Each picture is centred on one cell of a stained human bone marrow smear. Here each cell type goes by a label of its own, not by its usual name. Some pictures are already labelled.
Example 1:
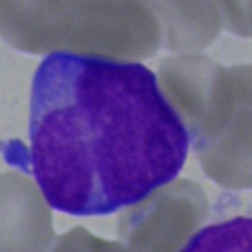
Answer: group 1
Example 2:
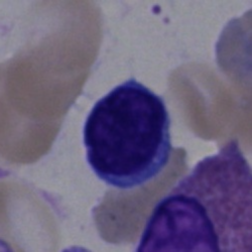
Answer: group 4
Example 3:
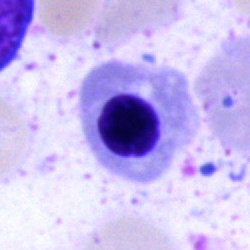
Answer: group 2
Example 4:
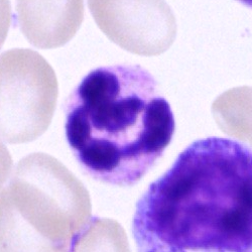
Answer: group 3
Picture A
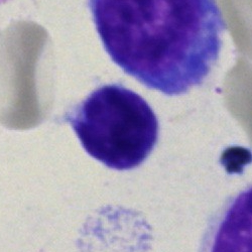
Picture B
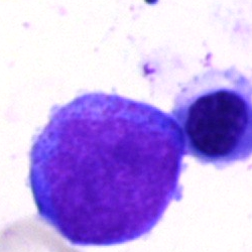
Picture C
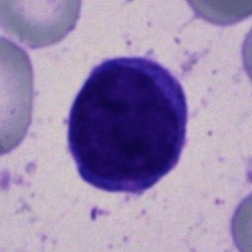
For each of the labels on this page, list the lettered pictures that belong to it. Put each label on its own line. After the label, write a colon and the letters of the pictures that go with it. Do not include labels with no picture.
group 1: B, C
group 4: A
